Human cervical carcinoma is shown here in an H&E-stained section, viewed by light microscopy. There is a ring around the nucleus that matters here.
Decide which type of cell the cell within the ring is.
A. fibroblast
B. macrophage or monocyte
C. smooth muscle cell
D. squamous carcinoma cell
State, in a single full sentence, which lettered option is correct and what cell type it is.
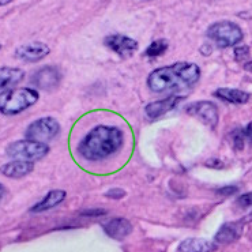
In keeping with option D, the cell within the ring is a squamous carcinoma cell.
